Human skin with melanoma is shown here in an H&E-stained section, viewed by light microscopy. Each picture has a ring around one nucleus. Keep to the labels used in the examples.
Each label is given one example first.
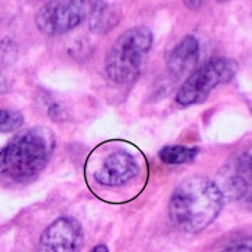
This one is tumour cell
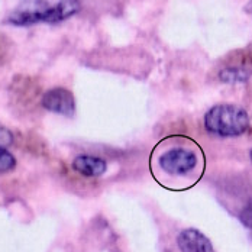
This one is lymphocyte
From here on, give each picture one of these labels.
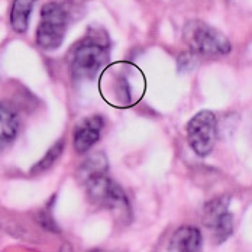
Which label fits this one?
tumour cell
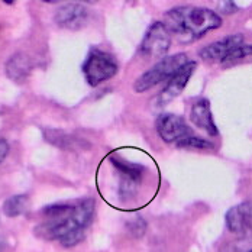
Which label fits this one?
tumour cell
